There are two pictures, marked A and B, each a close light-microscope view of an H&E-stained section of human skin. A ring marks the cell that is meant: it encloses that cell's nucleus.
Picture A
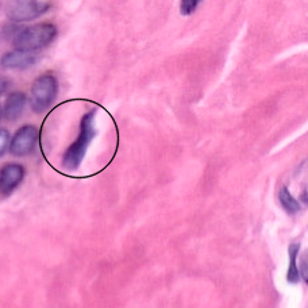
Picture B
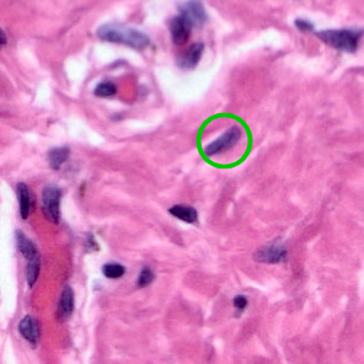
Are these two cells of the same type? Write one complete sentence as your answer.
Yes; the cells in both pictures are fibroblasts.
